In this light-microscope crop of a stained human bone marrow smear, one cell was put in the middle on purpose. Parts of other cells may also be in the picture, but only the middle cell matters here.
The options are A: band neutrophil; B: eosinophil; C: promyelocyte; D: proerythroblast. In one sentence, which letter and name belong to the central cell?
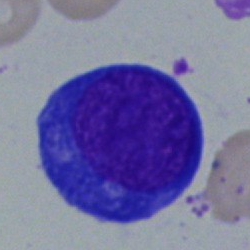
Here the central cell is a proerythroblast, and option D is correct.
